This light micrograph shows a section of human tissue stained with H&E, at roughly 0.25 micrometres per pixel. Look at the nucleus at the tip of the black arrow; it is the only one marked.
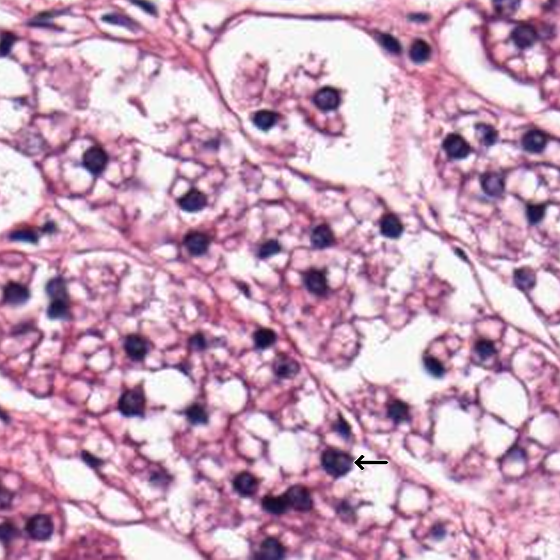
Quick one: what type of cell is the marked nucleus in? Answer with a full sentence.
The mark identifies the nucleus of an adrenal cortical cell.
